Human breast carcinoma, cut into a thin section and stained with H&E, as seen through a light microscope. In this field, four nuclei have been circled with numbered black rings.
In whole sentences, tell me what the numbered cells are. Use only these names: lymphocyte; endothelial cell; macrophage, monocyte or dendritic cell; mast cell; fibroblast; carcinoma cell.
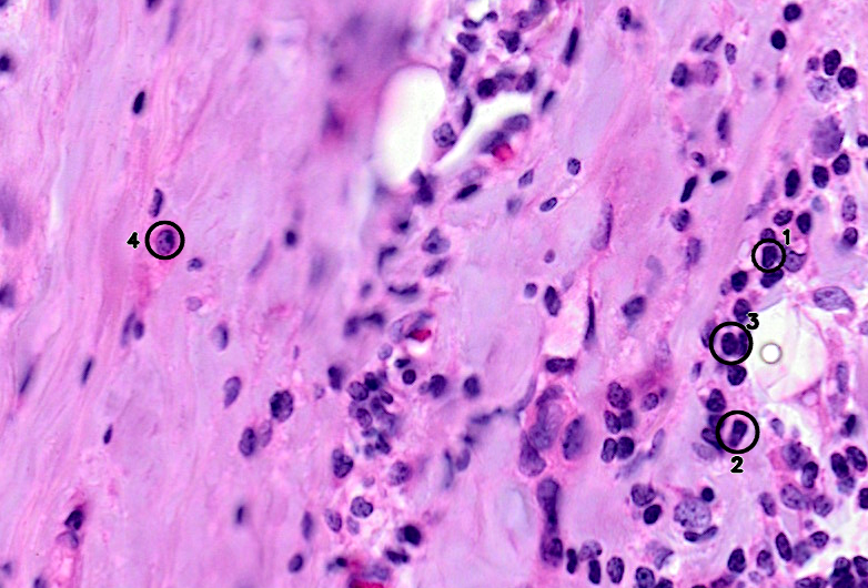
Cells 1, 2 and 3 are lymphocytes. Cell 4 is a mast cell.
